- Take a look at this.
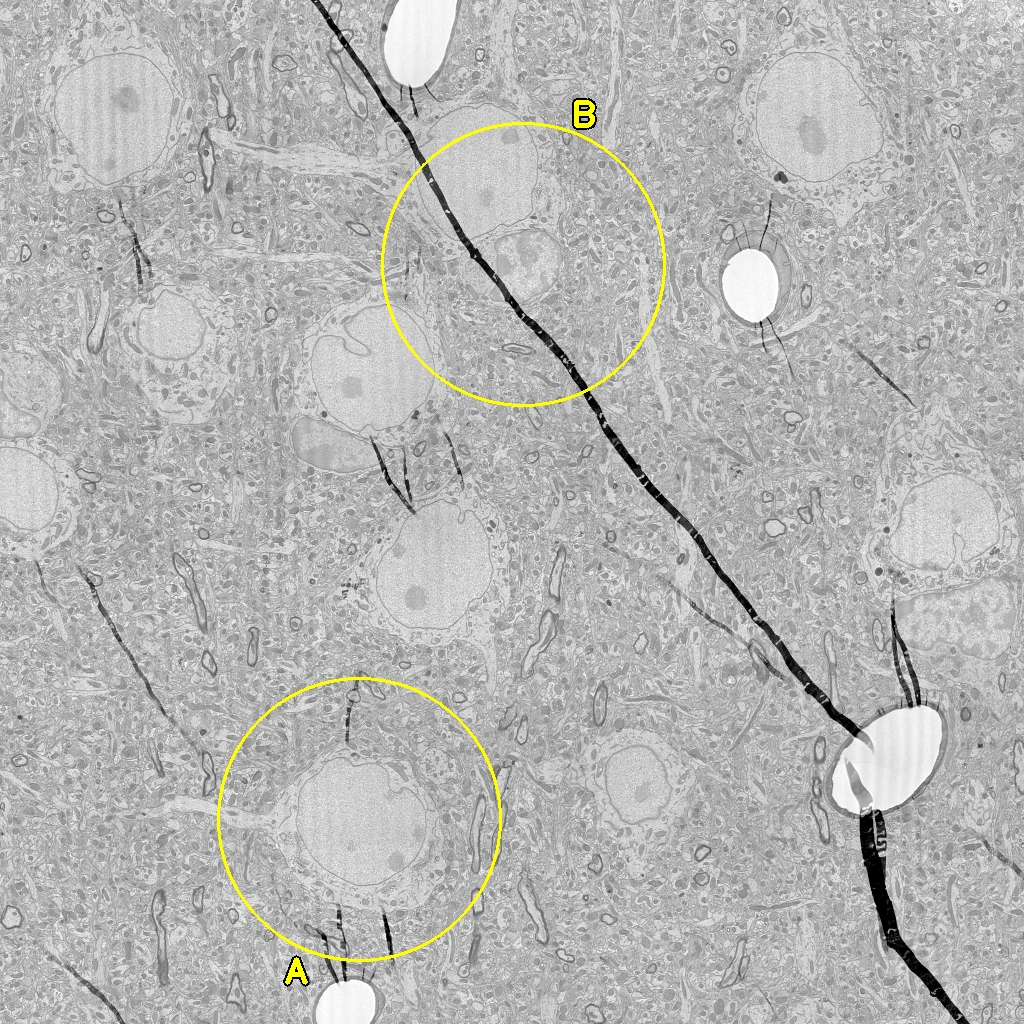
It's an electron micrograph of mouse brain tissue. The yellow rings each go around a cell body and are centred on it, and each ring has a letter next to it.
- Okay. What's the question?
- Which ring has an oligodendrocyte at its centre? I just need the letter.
B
